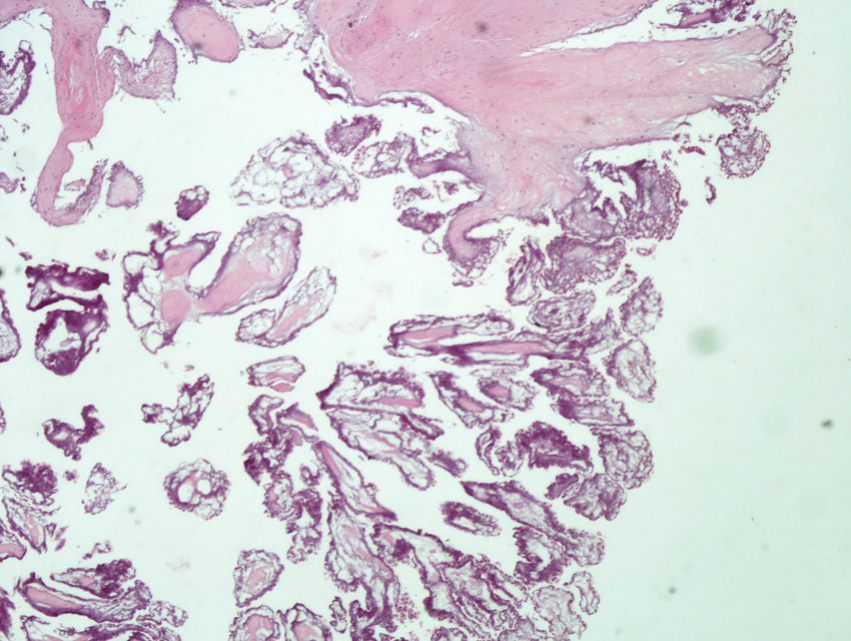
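In the upper part lies a band of dense pink fibrous tissue with wavy fibres and few nuclei. Numerous slender, branching fronds spread out from its lower edge, and most of them are cut across and lie as separate fragments with clear space between them. A thin, dark purple layer rims the surface of the fronds, although single cells are hard to make out at this magnification.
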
